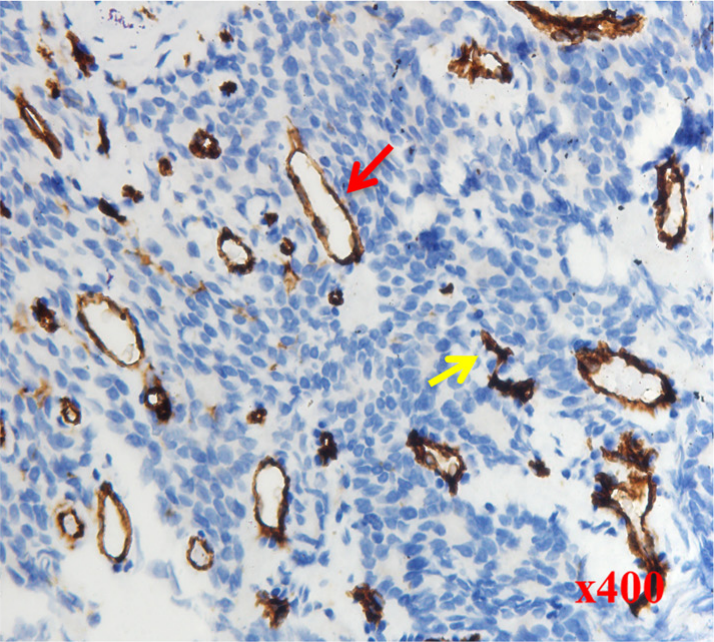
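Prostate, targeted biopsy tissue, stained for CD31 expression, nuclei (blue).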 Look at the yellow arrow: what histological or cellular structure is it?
an immature vessel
